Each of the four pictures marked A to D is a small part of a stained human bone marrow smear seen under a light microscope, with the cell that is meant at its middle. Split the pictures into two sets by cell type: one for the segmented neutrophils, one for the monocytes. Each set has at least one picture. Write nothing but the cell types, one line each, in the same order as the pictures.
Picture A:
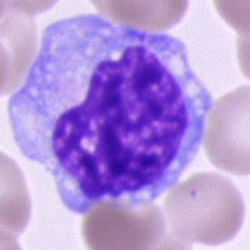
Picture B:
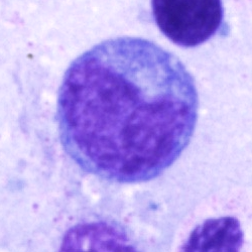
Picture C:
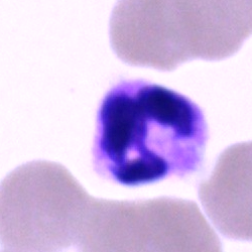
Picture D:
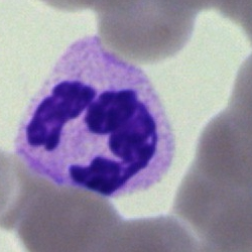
monocyte
monocyte
segmented neutrophil
segmented neutrophil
